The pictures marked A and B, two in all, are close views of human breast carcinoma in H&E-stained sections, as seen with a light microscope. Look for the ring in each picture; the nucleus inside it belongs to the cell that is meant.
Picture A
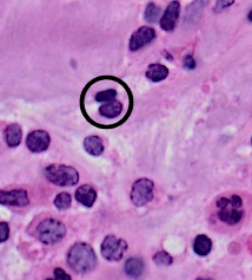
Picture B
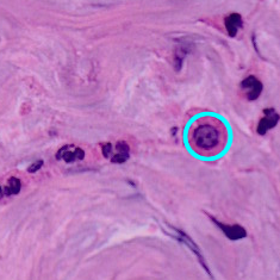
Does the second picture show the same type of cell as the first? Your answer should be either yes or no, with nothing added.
no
